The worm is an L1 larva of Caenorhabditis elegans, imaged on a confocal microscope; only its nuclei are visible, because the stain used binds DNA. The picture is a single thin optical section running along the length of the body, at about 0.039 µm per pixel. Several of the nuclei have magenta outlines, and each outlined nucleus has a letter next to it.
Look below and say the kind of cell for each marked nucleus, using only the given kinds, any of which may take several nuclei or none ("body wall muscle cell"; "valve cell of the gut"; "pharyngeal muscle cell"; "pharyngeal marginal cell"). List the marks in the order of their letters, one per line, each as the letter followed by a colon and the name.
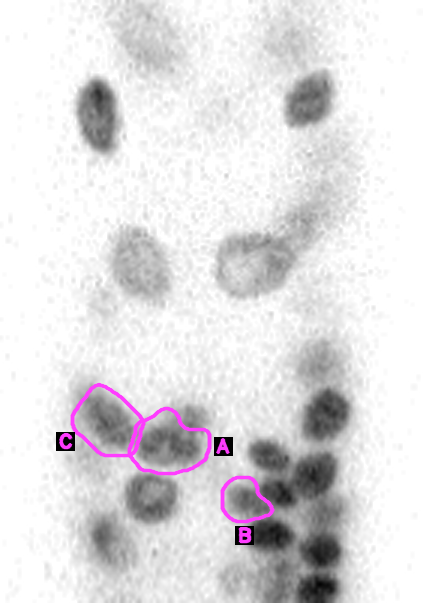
A: pharyngeal marginal cell
B: pharyngeal muscle cell
C: body wall muscle cell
